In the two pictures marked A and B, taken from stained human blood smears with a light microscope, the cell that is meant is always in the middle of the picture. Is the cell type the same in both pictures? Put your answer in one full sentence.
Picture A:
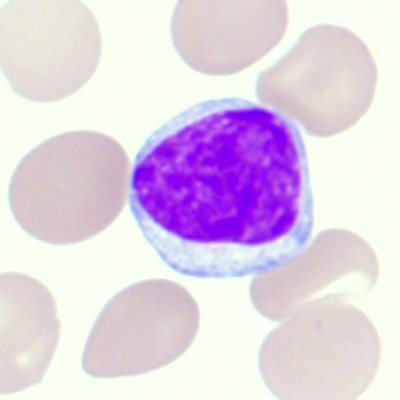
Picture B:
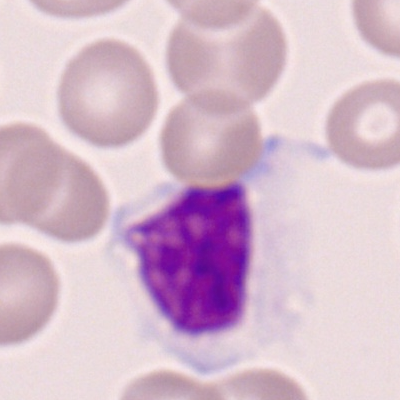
Yes, they are the same type: both are lymphocytes.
